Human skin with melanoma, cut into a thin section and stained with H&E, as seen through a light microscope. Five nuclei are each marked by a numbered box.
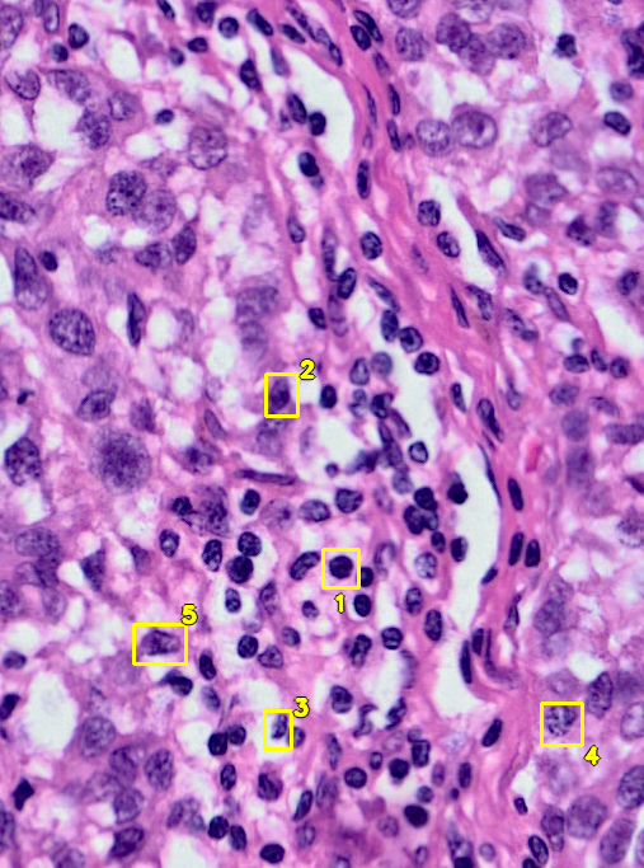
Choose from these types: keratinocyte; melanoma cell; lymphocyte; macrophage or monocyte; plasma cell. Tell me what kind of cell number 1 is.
lymphocyte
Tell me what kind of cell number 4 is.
melanoma cell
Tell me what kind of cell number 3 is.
lymphocyte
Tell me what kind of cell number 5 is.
melanoma cell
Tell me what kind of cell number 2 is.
melanoma cell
